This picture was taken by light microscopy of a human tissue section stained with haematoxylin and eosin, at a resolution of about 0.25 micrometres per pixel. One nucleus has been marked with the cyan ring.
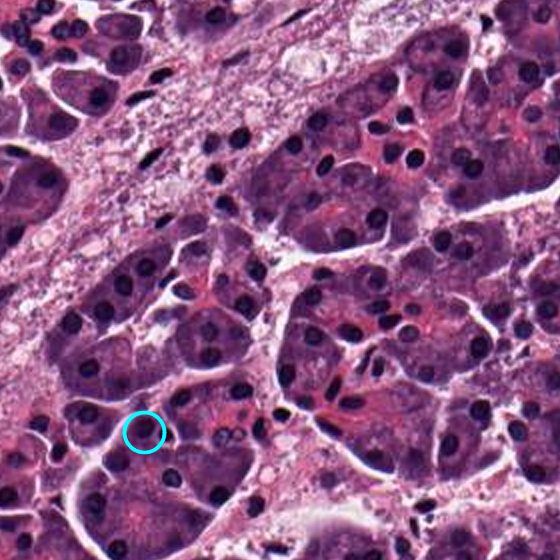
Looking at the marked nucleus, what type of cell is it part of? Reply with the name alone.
pancreatic acinar cell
